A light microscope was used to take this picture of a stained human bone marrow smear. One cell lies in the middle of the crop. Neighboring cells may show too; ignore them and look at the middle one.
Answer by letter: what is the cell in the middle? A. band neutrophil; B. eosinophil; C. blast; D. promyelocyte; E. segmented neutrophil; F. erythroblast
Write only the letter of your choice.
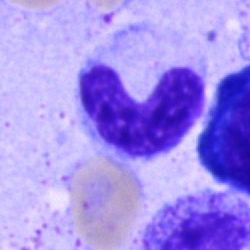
A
